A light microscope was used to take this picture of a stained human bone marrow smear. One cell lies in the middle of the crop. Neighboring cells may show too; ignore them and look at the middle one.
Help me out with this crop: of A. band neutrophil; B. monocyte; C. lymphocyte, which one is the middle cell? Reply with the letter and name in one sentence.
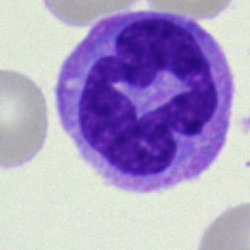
With the cell in the middle being a monocyte, option B is the correct choice.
